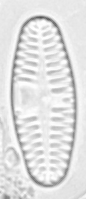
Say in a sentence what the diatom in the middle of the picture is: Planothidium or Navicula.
This is Planothidium.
